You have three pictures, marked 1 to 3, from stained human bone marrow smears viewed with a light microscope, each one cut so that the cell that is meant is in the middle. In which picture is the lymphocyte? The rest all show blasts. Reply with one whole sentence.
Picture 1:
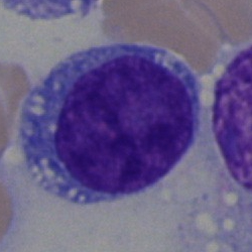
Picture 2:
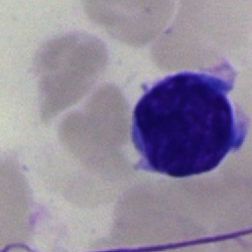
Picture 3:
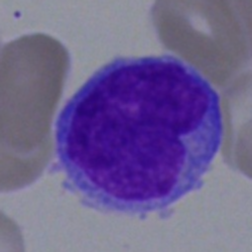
The picture with the lymphocyte is 2.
